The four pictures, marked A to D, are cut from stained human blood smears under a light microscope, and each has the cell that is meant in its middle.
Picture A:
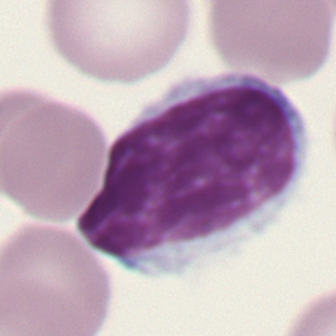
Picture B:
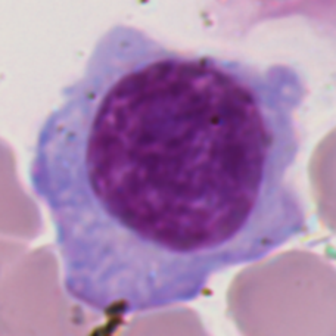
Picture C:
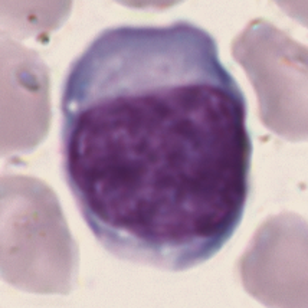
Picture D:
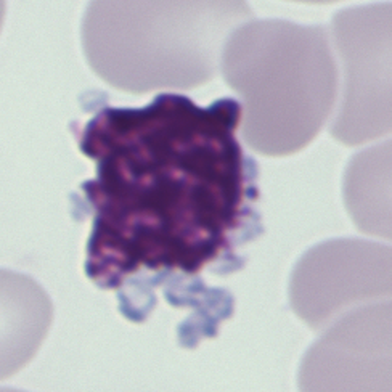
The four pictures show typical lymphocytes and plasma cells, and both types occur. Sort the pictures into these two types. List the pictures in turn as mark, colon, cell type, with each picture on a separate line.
A: typical lymphocyte
B: plasma cell
C: plasma cell
D: typical lymphocyte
